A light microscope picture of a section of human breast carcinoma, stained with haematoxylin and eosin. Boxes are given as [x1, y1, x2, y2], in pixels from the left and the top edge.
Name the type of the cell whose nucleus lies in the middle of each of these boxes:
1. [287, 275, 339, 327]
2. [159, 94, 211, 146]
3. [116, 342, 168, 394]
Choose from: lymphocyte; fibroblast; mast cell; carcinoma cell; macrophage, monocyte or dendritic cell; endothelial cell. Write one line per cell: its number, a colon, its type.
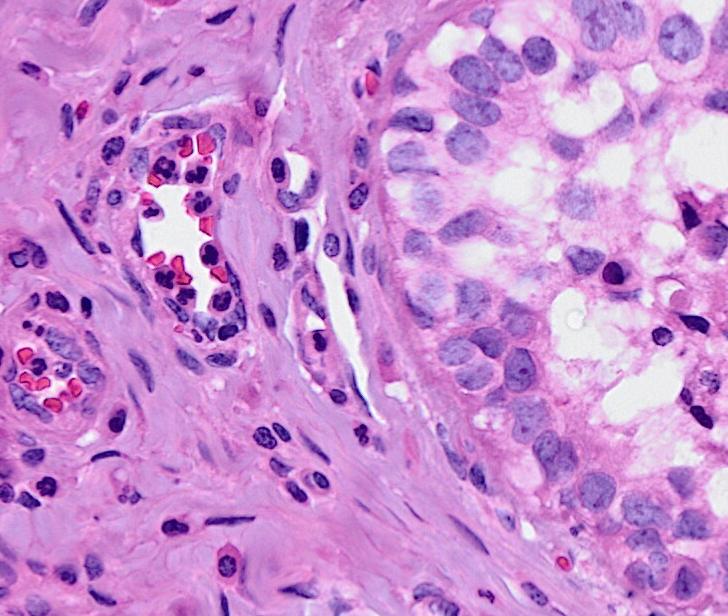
1: endothelial cell
2: endothelial cell
3: fibroblast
